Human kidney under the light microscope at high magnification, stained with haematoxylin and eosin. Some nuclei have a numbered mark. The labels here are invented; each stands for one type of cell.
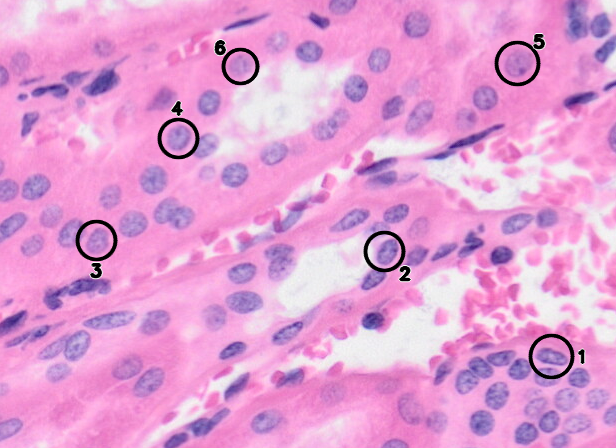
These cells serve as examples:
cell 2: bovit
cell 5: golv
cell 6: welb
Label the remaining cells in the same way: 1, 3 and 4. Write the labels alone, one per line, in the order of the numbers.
bovit
welb
welb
